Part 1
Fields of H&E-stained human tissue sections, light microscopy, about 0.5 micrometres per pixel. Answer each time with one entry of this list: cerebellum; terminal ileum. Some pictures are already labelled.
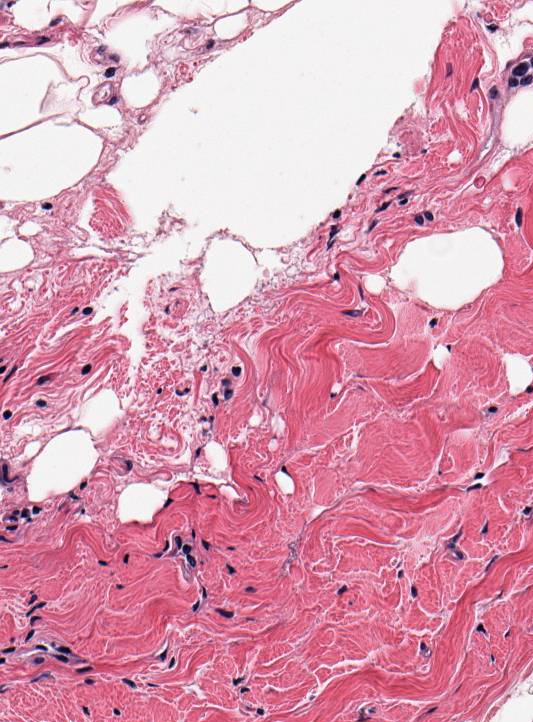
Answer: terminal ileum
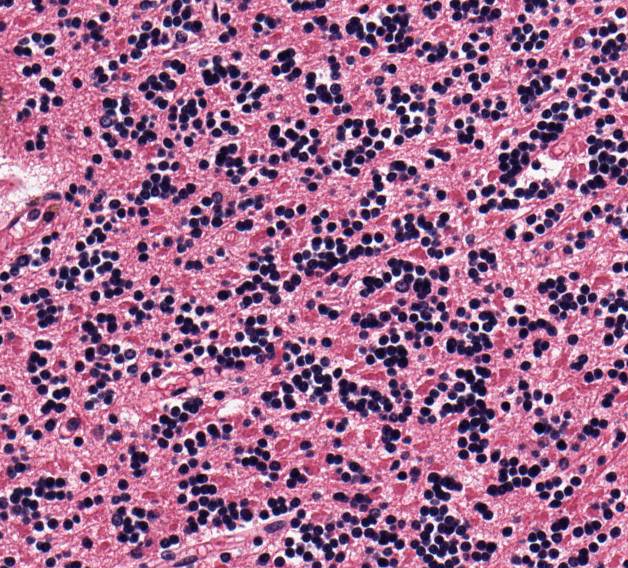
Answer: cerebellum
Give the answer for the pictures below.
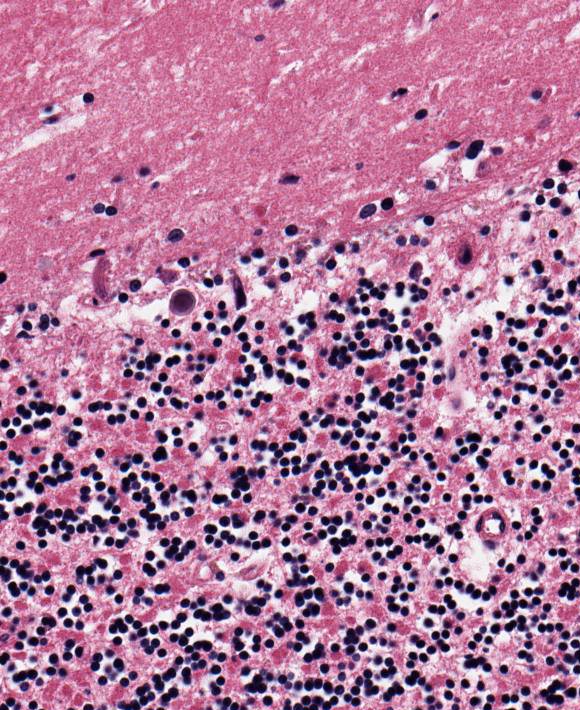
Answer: cerebellum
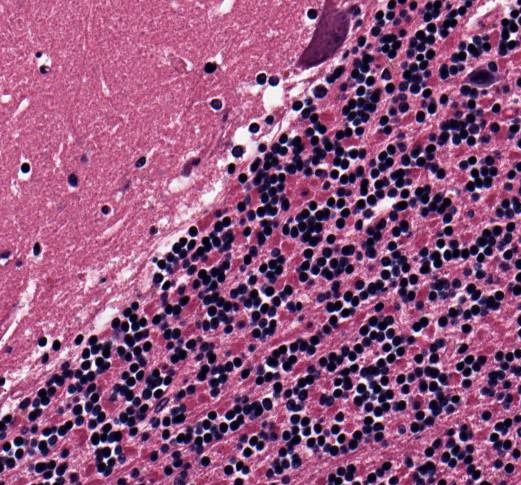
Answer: cerebellum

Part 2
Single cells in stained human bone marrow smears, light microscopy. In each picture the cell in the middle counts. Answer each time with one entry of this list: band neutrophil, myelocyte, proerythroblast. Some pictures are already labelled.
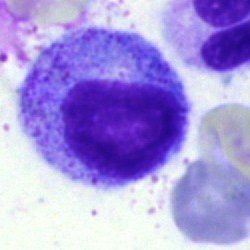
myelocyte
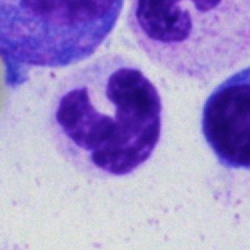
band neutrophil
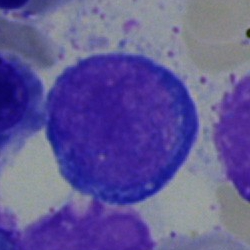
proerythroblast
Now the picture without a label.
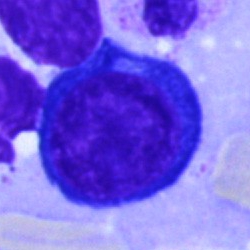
proerythroblast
